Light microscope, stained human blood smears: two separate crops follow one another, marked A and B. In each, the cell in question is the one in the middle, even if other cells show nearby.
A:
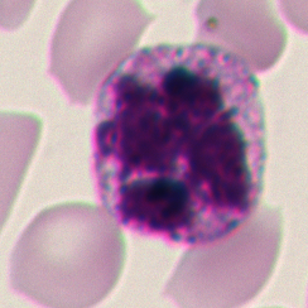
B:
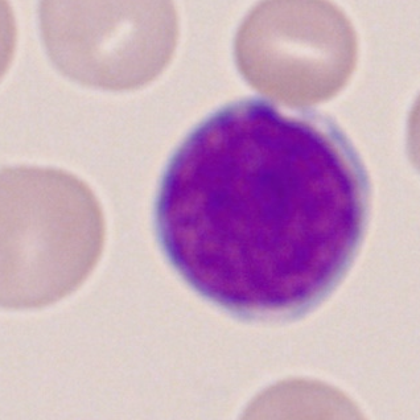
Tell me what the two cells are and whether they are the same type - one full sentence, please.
No, crop A holds a basophil, and a lymphocyte occupies crop B.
